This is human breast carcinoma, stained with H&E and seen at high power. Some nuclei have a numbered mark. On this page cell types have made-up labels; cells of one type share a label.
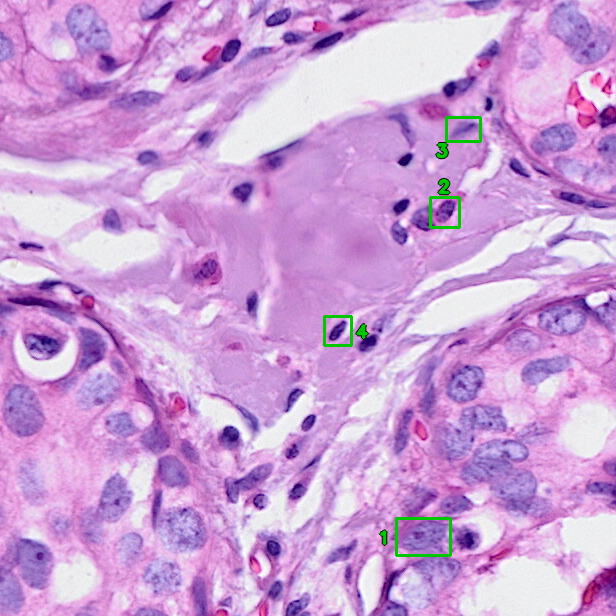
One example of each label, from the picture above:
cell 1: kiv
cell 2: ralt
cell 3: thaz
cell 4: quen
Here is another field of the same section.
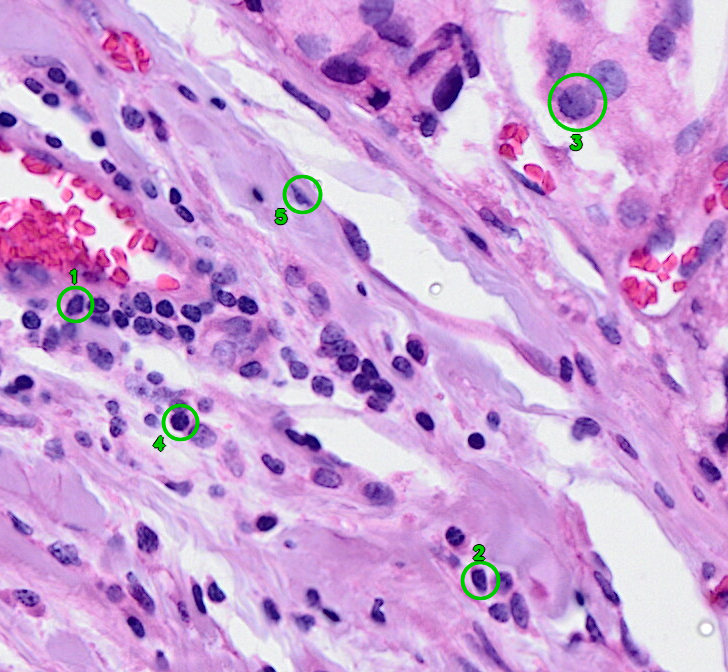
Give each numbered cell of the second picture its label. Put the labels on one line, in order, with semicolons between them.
quen; quen; kiv; quen; thaz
